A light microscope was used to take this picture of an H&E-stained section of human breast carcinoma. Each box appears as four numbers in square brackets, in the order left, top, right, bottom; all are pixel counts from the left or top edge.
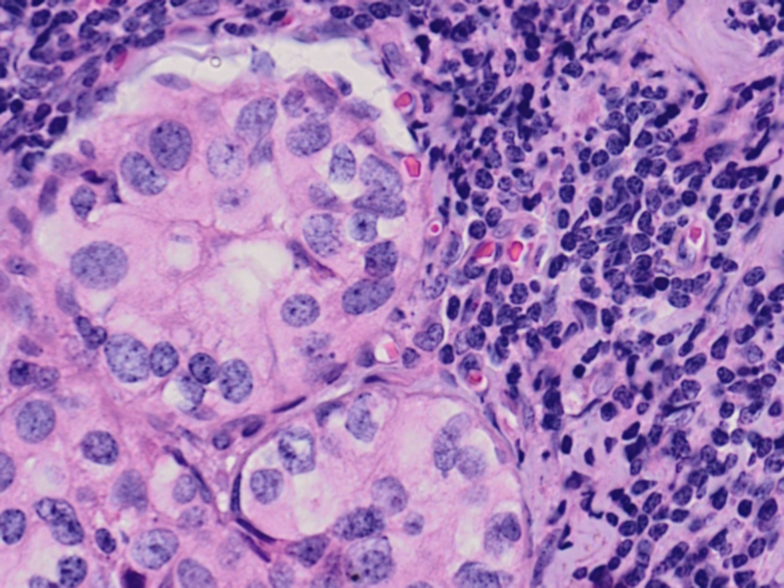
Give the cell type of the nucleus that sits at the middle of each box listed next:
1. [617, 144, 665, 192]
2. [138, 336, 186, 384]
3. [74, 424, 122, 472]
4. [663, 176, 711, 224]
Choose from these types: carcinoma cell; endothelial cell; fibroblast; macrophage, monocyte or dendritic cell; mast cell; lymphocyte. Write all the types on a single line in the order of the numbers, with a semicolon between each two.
lymphocyte; carcinoma cell; carcinoma cell; lymphocyte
